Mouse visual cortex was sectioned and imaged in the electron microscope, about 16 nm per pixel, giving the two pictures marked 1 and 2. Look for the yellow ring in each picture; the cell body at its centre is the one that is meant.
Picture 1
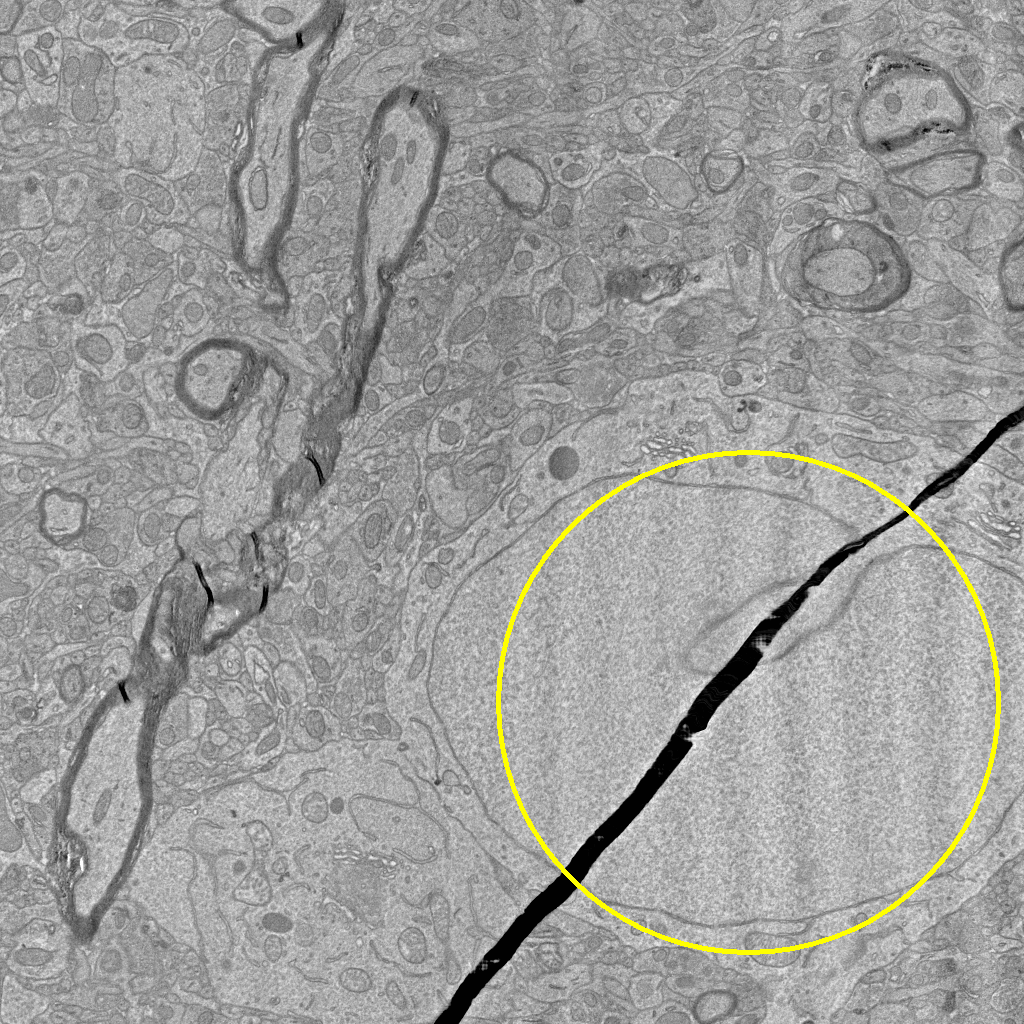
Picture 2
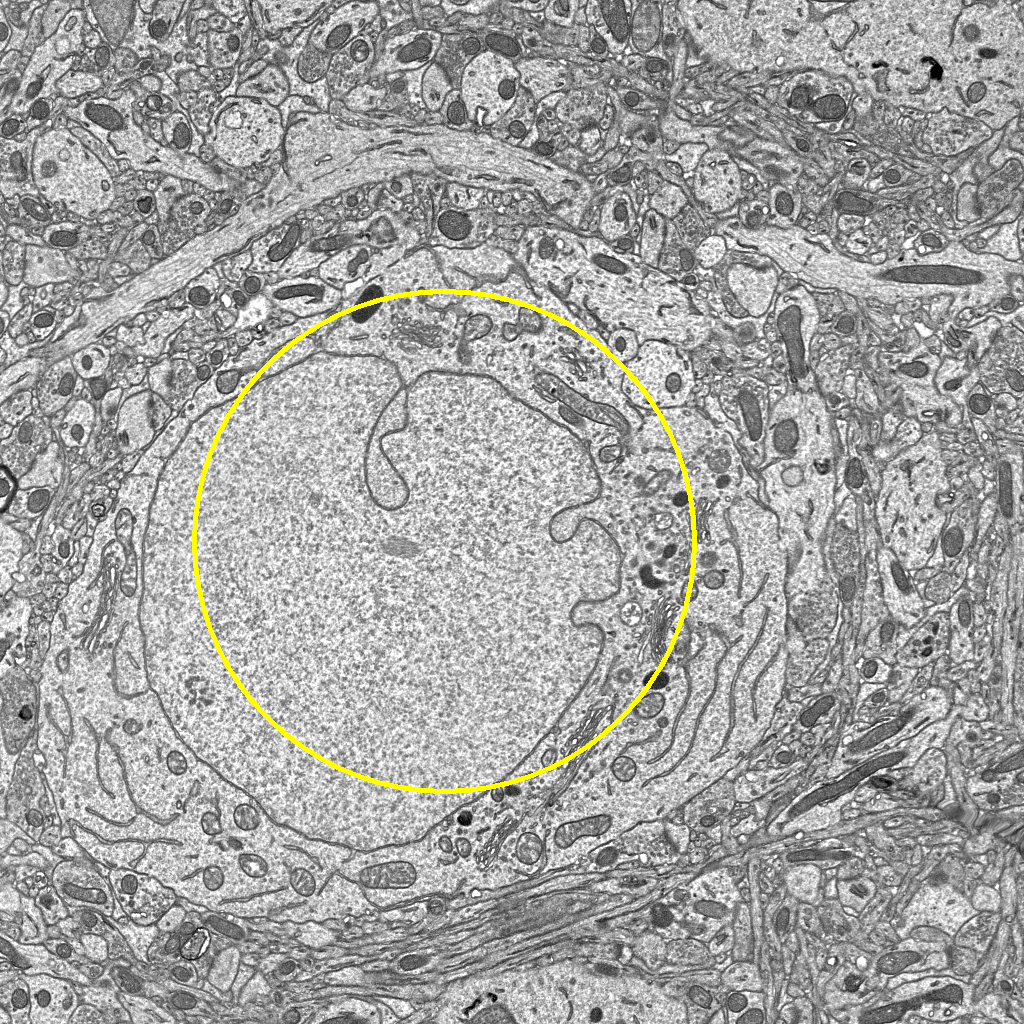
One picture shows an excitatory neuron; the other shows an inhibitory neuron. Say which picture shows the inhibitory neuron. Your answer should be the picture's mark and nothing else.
2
